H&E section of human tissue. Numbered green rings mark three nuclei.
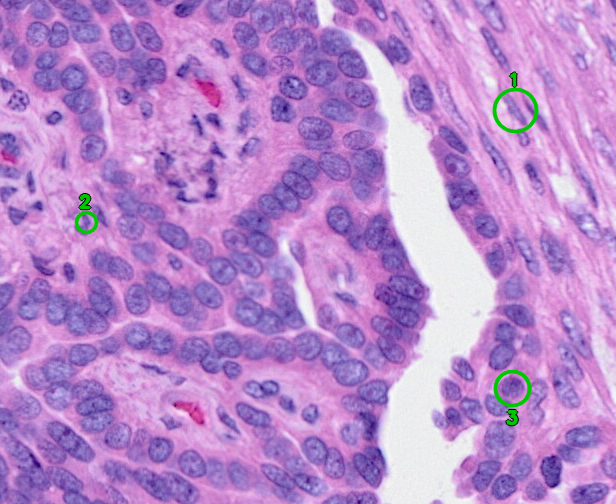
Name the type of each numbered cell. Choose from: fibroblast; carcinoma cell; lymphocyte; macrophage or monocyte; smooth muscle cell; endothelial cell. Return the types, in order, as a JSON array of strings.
["fibroblast", "fibroblast", "carcinoma cell"]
